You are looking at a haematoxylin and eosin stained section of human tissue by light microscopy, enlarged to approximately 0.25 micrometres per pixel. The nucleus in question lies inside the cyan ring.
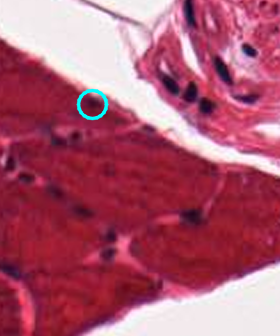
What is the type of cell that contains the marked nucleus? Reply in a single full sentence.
The nucleus bearing the mark belongs to a skeletal muscle fibre.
